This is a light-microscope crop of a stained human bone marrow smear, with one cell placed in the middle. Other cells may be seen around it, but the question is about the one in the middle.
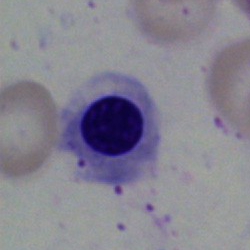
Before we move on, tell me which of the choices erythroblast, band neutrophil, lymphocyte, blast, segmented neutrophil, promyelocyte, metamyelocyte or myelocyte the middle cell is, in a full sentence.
What the crop centres on is an erythroblast.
